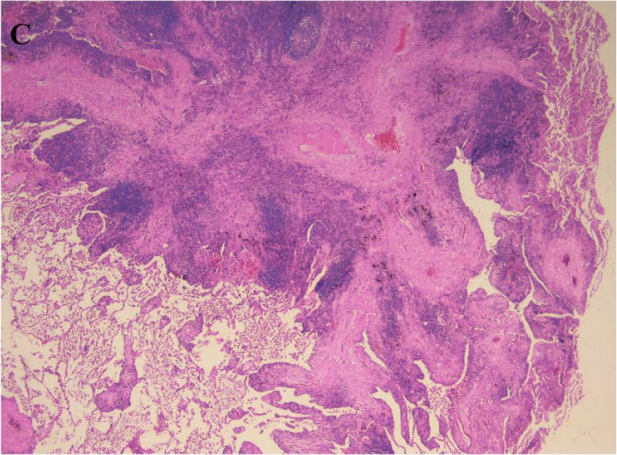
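At this low power we see lung tissue around a small airway, where dark purple rounded clusters of lymphocytes form follicles scattered through thick bands of pink fibrous tissue. The fibrosis spreads outward from the airway region and replaces much of the normal architecture, while at the lower left the lacy, thin-walled air spaces of more normal lung remain. Small blood vessels with red contents and scattered black pigment flecks lie within the fibrous areas, and the purple clusters sit mostly along and around the fibrous bands.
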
